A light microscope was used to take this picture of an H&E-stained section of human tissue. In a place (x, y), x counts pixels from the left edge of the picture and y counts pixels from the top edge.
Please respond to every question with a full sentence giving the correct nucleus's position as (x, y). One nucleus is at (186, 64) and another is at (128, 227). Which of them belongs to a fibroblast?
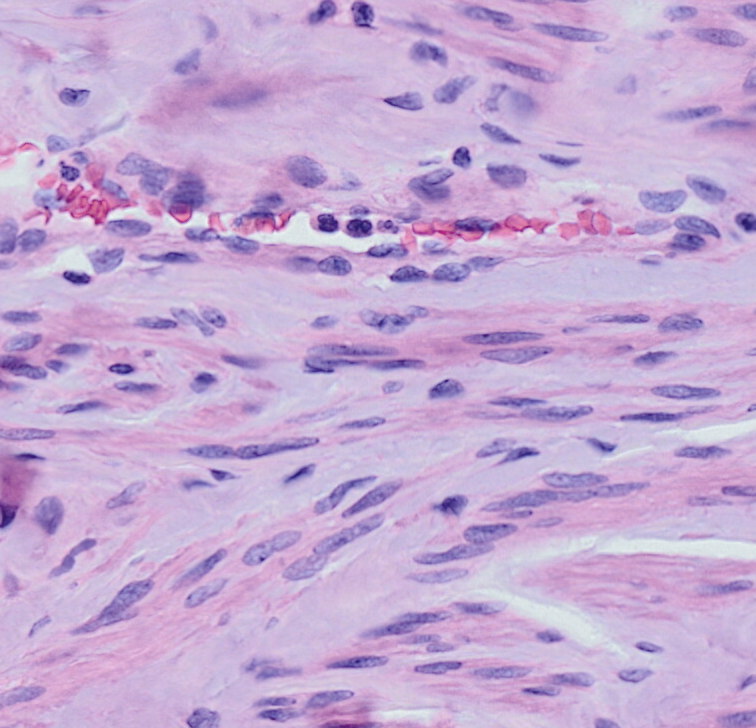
The correct choice is the nucleus at (186, 64), which belongs to a fibroblast.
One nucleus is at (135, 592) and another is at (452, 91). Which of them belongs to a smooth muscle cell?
Of the two nuclei, that at (135, 592) is the nucleus of a smooth muscle cell.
